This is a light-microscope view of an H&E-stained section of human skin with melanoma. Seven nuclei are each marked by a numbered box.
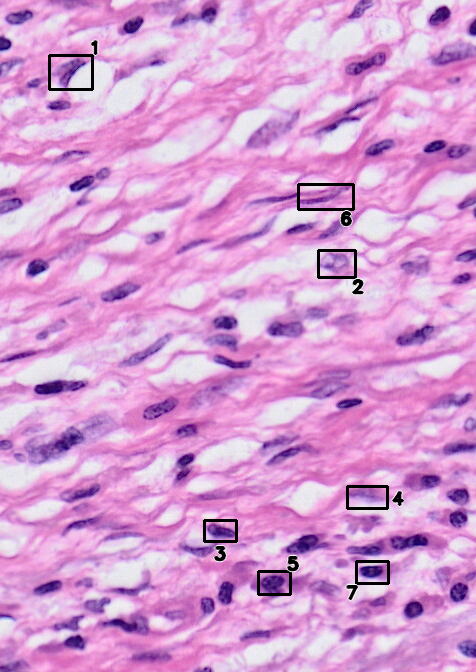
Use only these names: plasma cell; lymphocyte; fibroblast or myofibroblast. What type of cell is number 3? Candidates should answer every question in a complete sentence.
Cell 3 of the marked set is a lymphocyte.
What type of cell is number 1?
Here the cell numbered 1 is a fibroblast or myofibroblast.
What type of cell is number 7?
The cell that bears the number 7 is a plasma cell.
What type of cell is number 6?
The cell marked with the number 6 is a fibroblast or myofibroblast.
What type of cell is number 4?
Recognised here as a fibroblast or myofibroblast is the cell numbered 4.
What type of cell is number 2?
Denoted by the label 2 in the section is a fibroblast or myofibroblast.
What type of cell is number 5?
The cell that is numbered 5 is a plasma cell.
